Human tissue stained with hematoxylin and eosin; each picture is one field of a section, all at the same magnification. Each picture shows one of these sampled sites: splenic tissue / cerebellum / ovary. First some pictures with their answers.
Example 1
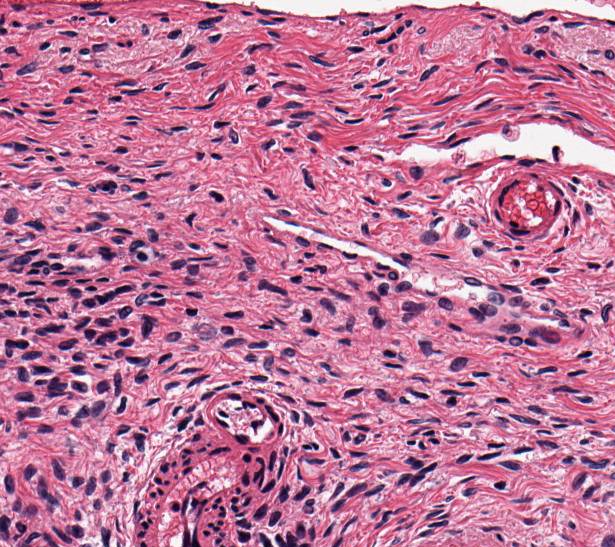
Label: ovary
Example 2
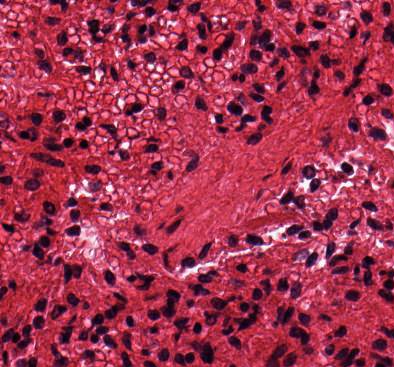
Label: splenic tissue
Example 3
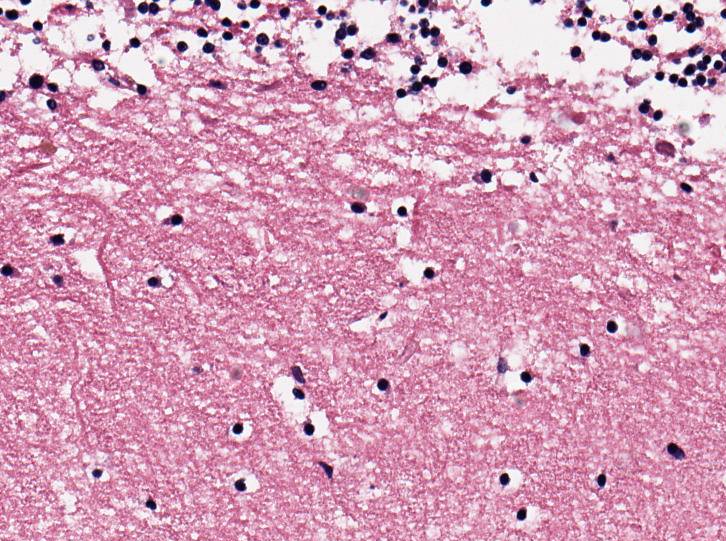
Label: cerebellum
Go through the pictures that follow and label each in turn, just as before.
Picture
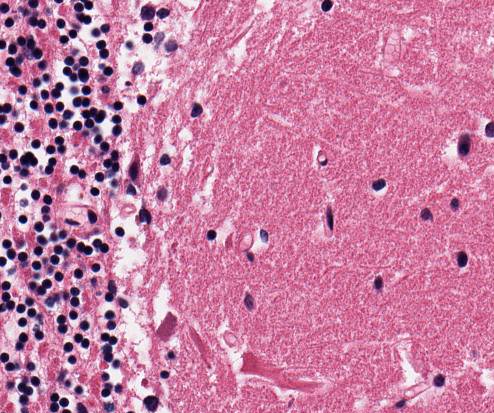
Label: cerebellum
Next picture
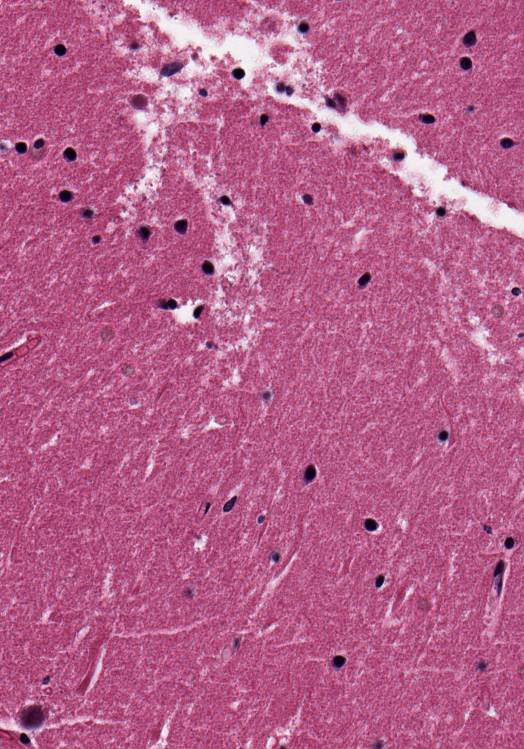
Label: cerebellum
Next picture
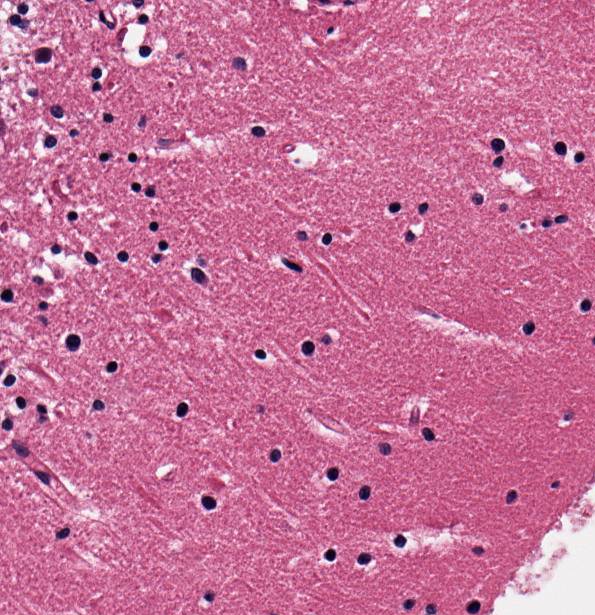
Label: cerebellum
